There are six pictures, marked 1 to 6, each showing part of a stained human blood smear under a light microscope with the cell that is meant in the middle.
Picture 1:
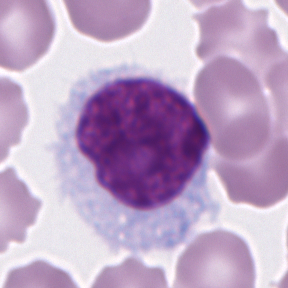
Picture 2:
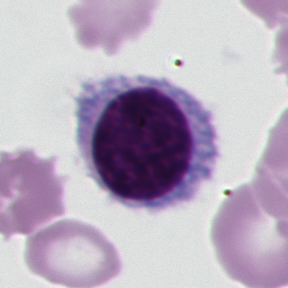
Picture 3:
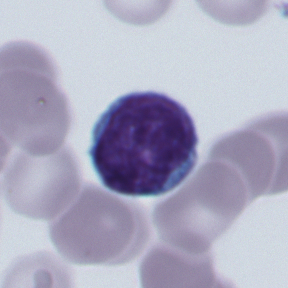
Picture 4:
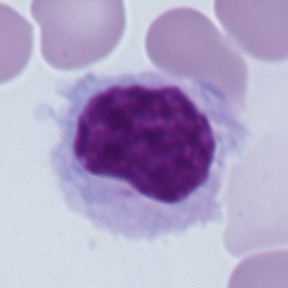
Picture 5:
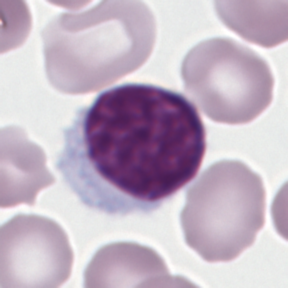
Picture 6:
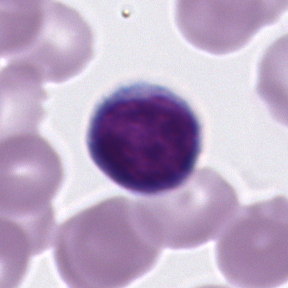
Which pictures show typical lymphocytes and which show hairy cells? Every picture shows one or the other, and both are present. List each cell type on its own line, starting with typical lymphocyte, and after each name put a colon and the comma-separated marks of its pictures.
typical lymphocyte: 3, 6
hairy cell: 1, 2, 4, 5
